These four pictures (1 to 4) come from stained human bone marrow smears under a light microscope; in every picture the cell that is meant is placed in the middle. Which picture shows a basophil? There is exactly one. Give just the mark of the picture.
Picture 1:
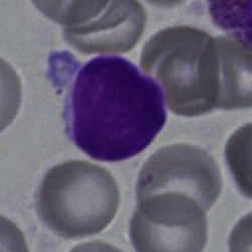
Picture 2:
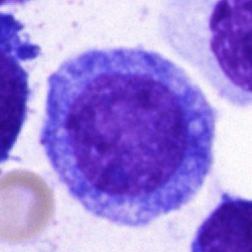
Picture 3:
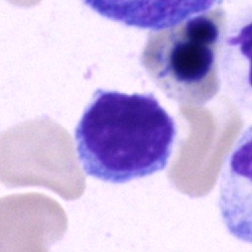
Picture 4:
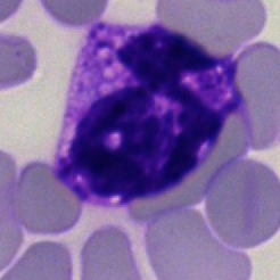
4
